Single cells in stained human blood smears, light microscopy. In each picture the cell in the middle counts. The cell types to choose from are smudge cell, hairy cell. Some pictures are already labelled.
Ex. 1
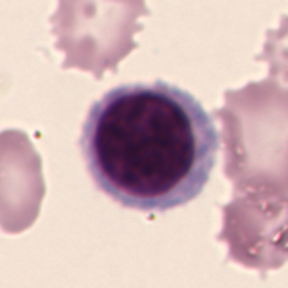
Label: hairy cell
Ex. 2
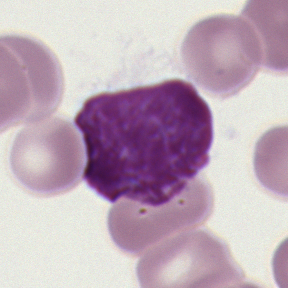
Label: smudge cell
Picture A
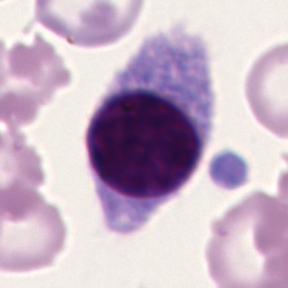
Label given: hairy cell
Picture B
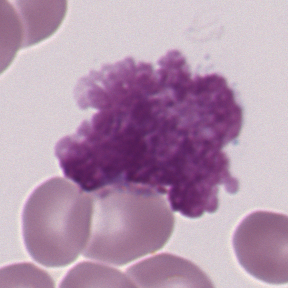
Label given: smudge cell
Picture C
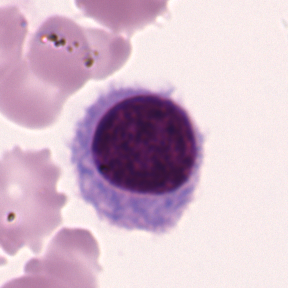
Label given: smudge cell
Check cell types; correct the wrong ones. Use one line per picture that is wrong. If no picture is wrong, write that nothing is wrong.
C: hairy cell, not smudge cell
